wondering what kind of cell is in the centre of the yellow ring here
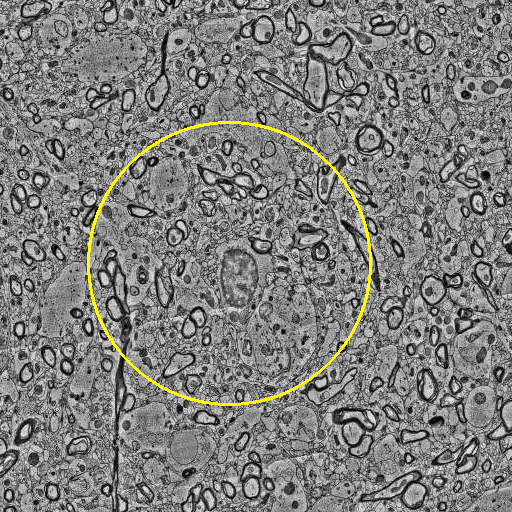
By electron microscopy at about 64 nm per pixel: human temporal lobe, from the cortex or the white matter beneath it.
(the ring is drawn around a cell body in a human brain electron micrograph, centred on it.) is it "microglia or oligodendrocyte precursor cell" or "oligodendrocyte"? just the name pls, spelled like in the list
oligodendrocyte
